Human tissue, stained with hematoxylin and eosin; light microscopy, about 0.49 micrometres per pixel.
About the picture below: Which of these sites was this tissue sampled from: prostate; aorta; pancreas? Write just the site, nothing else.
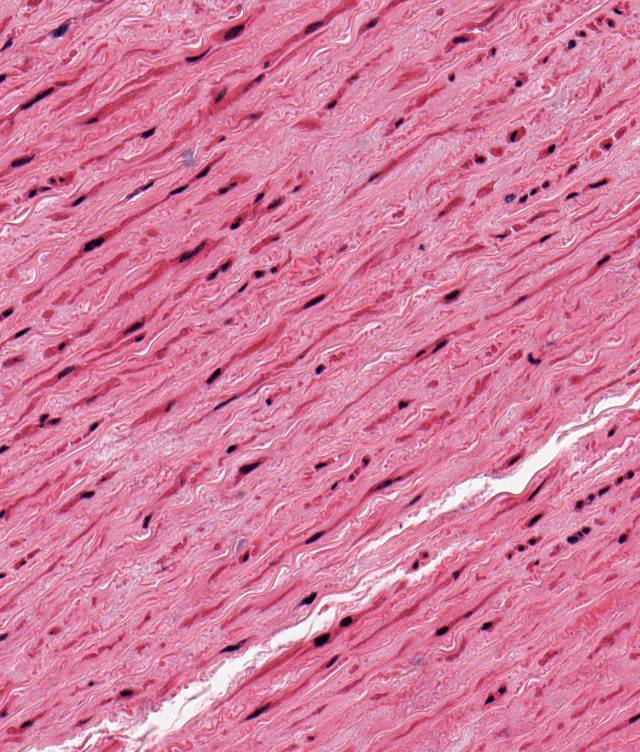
aorta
